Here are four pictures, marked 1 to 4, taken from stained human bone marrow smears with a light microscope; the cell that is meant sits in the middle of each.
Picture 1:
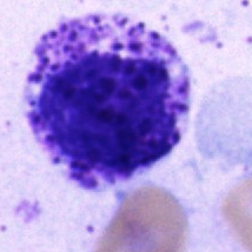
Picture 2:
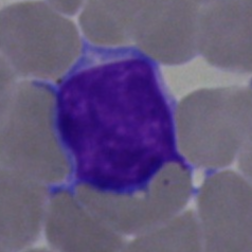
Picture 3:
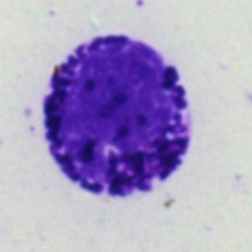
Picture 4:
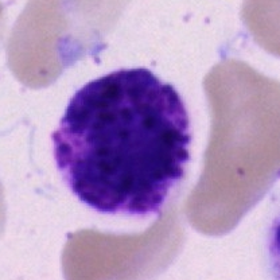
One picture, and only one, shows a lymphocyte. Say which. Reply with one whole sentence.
Picture 2 shows the lymphocyte.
